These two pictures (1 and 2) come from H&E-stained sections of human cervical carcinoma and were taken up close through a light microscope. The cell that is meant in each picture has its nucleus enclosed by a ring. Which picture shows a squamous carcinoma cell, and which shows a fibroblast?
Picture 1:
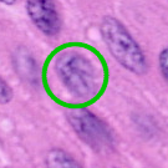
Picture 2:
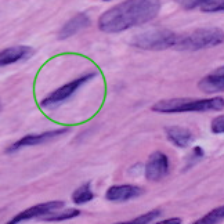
1: squamous carcinoma cell
2: fibroblast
